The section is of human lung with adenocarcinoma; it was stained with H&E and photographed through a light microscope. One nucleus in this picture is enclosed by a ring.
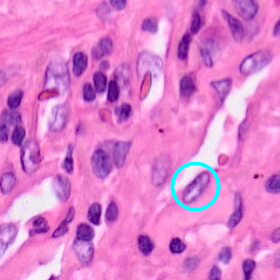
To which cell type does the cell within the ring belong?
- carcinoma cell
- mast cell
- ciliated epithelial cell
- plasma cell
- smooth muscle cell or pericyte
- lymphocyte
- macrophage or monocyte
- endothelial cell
endothelial cell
